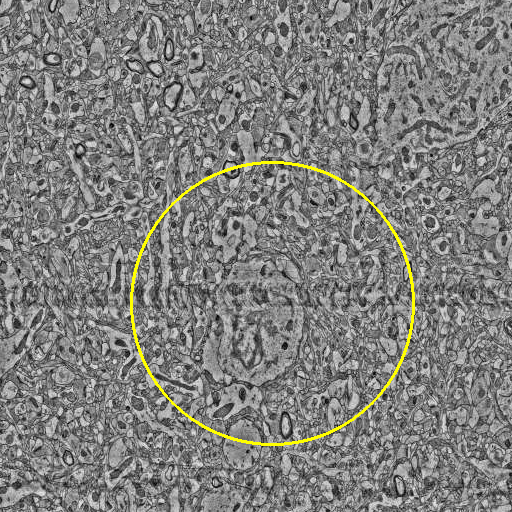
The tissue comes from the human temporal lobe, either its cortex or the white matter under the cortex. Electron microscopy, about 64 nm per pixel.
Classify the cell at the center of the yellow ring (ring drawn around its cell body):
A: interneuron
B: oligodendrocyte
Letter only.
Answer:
A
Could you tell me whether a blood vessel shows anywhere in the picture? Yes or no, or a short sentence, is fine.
No.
